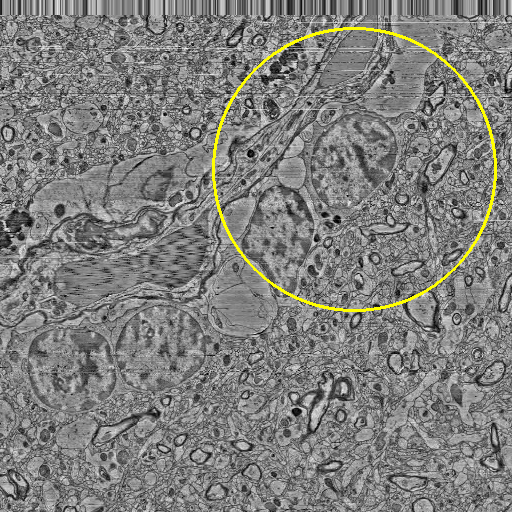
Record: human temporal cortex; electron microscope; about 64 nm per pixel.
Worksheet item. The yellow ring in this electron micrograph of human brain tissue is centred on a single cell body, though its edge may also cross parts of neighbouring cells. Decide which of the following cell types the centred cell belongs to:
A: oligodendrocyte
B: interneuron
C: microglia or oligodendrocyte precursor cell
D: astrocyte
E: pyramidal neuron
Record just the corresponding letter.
A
